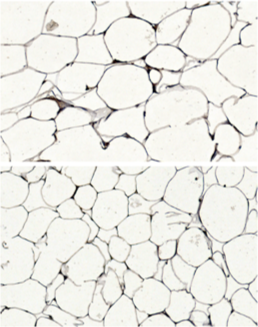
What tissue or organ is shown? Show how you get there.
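Fat. Sheets of large clear cells with thin walls. No other tissue between the cells apart from scant stromal material.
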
